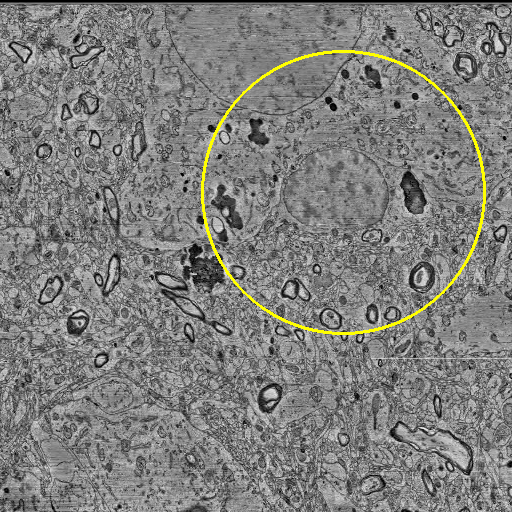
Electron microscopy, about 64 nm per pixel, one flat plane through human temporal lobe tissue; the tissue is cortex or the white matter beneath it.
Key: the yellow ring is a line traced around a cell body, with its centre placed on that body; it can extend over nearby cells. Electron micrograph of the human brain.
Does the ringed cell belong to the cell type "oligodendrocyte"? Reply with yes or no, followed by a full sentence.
Yes, the cell at the centre of the yellow ring in the picture is of that type.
